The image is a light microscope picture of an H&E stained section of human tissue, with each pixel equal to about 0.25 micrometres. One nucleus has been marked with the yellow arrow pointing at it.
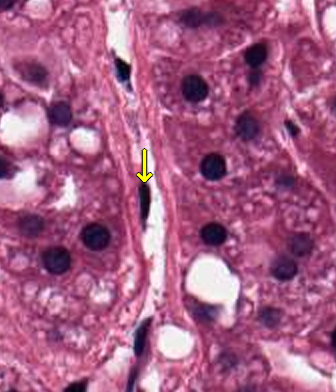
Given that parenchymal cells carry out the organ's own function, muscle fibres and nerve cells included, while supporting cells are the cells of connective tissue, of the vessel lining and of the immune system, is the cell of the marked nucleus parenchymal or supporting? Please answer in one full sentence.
The marked nucleus, in this section, is the nucleus of a supporting cell.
